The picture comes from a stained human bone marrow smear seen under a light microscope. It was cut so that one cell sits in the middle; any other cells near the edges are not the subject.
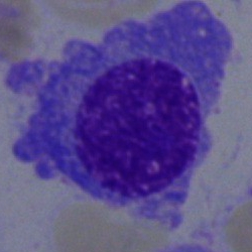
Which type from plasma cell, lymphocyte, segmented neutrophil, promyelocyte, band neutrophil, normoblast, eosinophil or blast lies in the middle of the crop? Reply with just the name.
plasma cell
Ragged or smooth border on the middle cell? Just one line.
The boundary of the cell runs irregularly, ragged in parts or drawn into projections.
